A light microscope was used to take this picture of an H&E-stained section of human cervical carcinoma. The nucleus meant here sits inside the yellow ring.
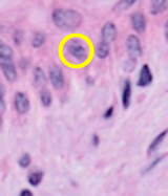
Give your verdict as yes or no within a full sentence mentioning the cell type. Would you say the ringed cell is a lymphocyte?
No, by cell type the ringed cell is a smooth muscle cell, not a lymphocyte.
